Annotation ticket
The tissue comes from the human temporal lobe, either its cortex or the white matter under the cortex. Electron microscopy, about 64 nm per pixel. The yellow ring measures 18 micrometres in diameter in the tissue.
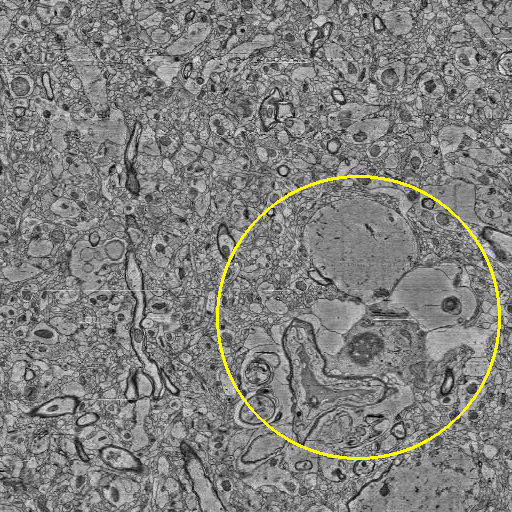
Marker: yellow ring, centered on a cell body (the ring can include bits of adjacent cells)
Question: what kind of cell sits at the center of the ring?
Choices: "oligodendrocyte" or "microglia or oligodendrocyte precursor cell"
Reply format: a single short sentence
The ring is centered on an oligodendrocyte.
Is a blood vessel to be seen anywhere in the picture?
Yes, a blood vessel shows in the picture.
